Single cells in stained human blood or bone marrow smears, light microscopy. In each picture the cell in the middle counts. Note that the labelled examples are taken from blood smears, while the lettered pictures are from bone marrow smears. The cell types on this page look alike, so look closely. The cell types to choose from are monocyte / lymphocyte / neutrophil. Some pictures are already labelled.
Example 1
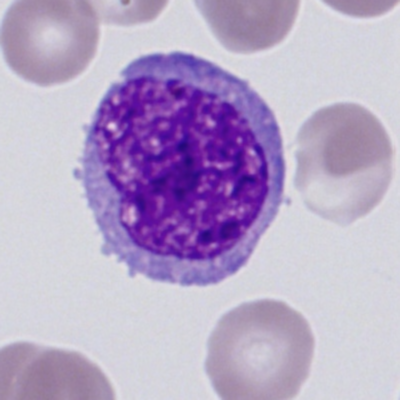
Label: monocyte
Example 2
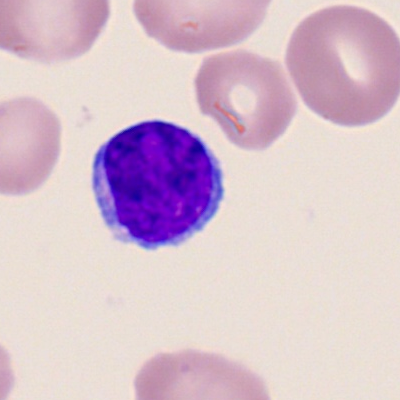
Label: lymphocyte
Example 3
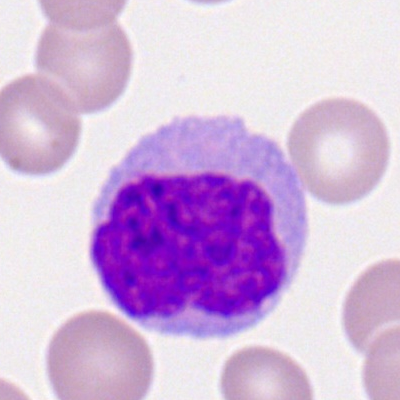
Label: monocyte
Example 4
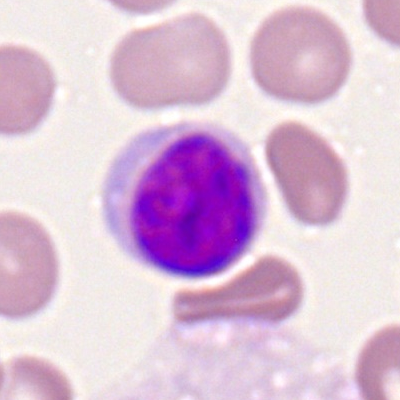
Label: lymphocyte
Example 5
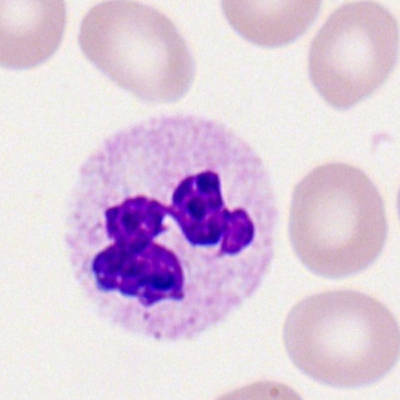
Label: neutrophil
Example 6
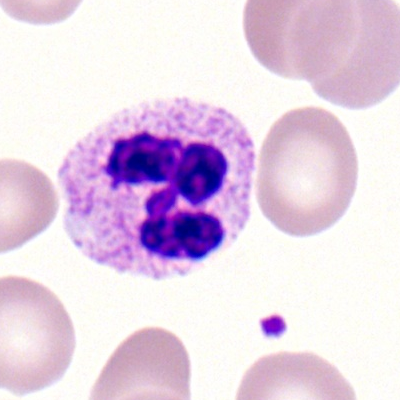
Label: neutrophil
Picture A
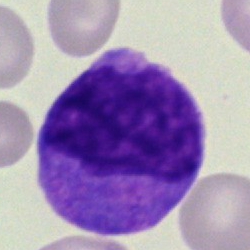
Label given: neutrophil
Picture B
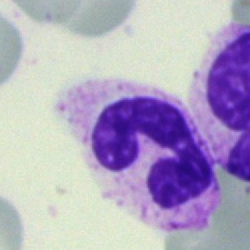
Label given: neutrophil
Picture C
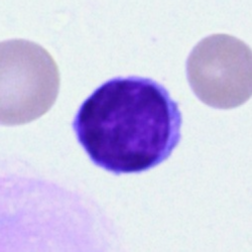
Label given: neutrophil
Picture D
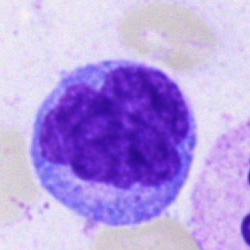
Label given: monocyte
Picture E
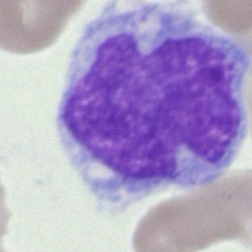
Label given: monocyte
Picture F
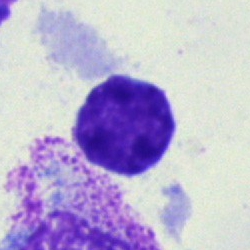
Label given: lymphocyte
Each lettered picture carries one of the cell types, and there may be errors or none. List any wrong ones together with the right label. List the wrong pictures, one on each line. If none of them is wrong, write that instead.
A: not neutrophil but monocyte
C: not neutrophil but lymphocyte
